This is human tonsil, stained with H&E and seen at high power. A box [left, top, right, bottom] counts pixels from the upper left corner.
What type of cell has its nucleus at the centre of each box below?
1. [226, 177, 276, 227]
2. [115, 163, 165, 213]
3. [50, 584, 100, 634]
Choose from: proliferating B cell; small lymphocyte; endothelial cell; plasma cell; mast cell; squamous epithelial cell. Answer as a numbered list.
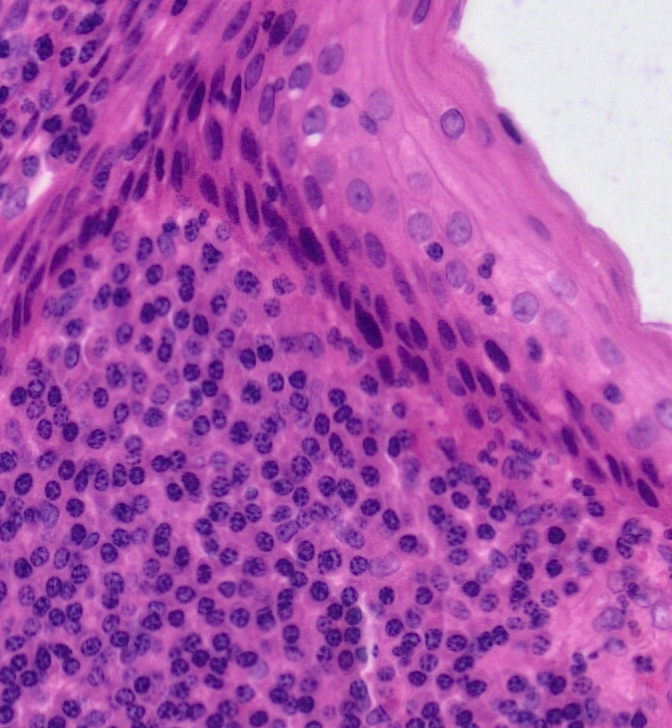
1. squamous epithelial cell
2. squamous epithelial cell
3. plasma cell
